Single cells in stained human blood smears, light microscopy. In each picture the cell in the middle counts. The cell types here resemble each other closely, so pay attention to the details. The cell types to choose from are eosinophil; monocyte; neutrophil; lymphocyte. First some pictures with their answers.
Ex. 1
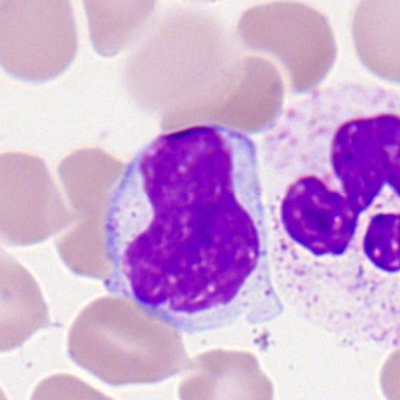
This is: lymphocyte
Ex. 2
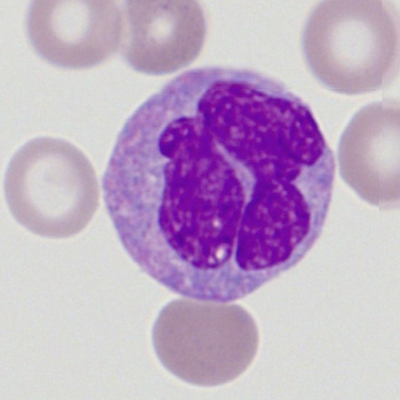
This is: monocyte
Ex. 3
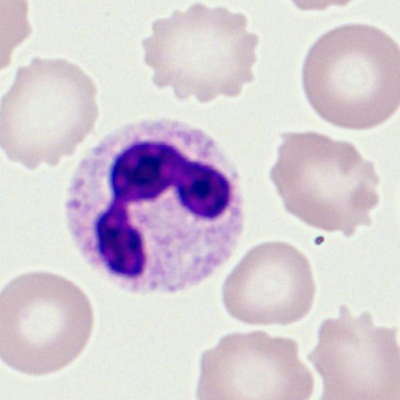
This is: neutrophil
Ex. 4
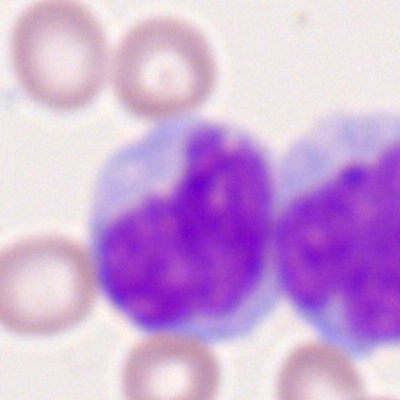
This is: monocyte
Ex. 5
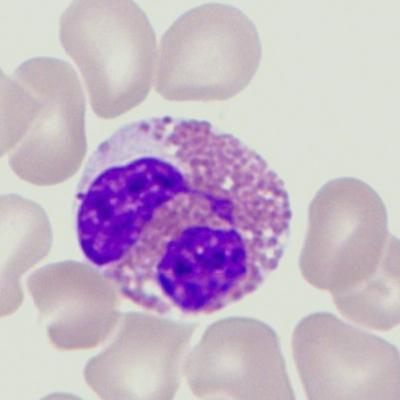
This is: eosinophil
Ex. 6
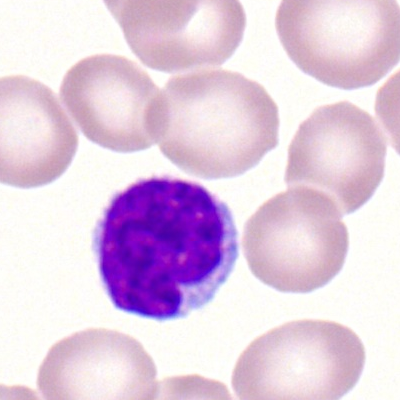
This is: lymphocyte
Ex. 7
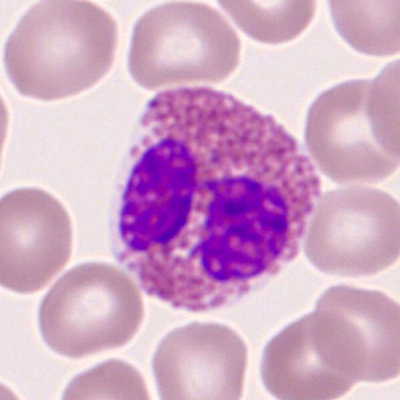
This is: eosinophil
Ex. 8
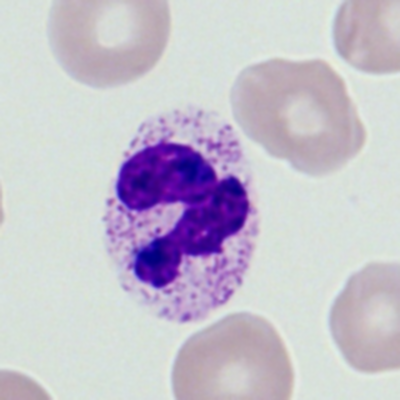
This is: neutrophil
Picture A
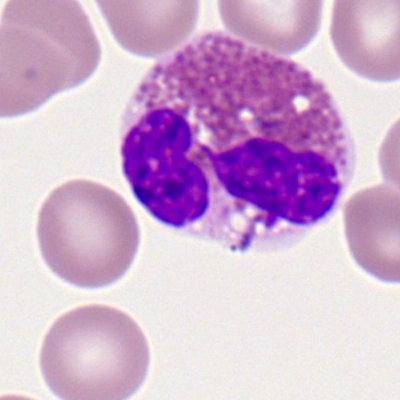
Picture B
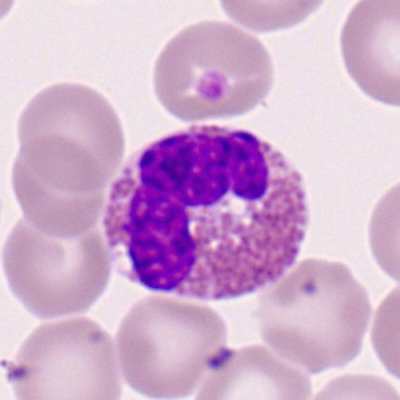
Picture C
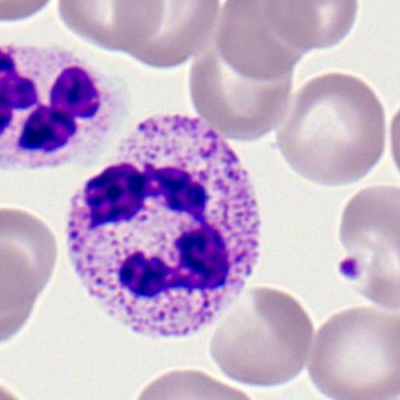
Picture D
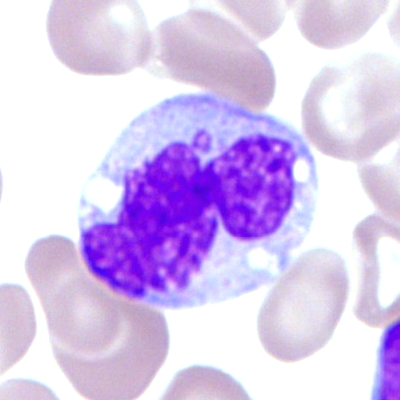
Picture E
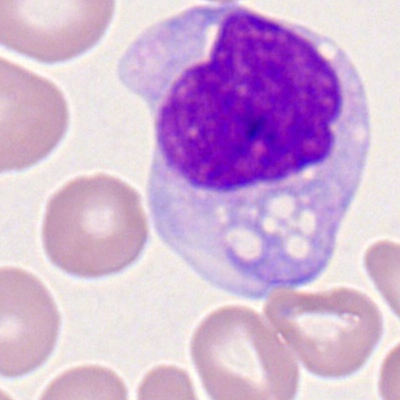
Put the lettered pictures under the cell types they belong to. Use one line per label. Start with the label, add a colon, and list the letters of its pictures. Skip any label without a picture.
eosinophil: A, B
monocyte: D, E
neutrophil: C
